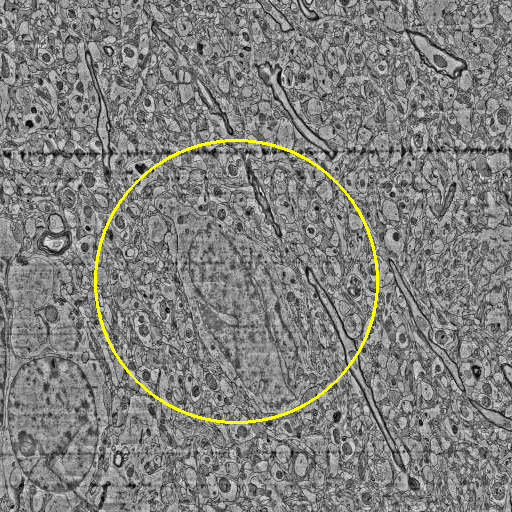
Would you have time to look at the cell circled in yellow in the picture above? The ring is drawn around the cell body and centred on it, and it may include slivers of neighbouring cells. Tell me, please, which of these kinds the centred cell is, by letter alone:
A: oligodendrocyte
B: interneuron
B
